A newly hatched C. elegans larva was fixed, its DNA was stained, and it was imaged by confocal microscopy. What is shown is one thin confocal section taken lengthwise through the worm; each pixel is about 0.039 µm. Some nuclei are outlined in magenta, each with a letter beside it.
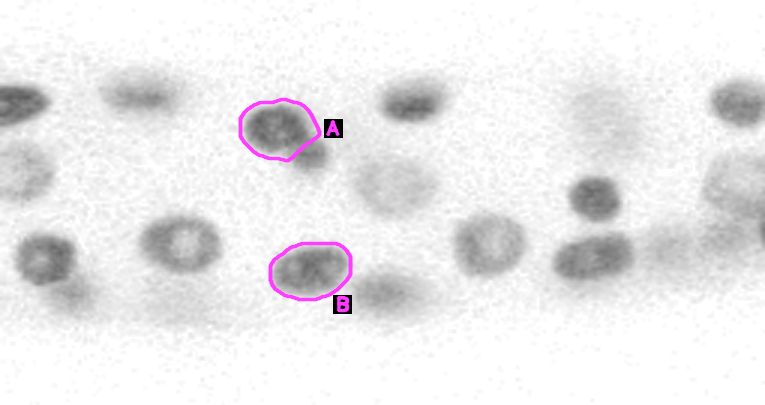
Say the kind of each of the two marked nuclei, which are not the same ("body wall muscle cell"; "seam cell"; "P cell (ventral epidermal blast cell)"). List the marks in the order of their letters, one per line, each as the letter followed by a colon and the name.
A: body wall muscle cell
B: P cell (ventral epidermal blast cell)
